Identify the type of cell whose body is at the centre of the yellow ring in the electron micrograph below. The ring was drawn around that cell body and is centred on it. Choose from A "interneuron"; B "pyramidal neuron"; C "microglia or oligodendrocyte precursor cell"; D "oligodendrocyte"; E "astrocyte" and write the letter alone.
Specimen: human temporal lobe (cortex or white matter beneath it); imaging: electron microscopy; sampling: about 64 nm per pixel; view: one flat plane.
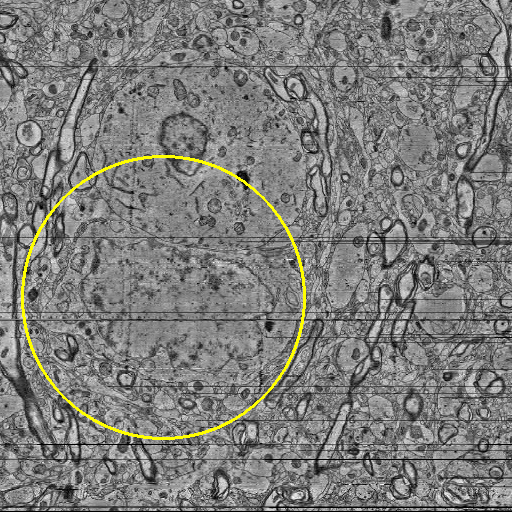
A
